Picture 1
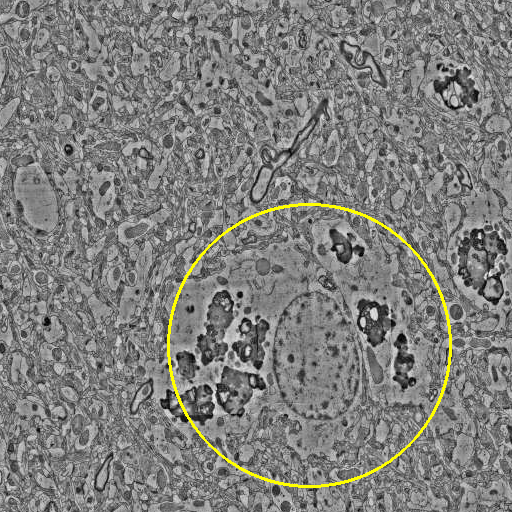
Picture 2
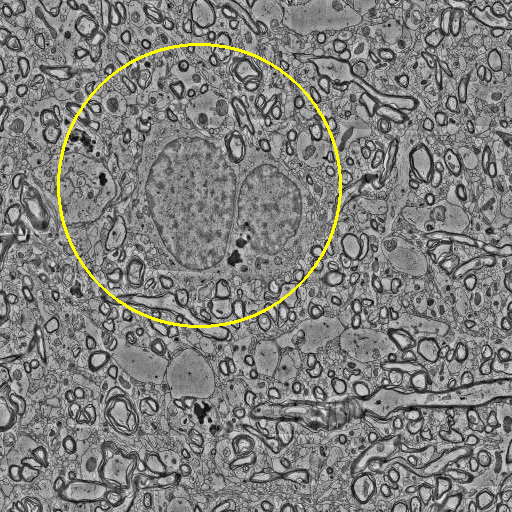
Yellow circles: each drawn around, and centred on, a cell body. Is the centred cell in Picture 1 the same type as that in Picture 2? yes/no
no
